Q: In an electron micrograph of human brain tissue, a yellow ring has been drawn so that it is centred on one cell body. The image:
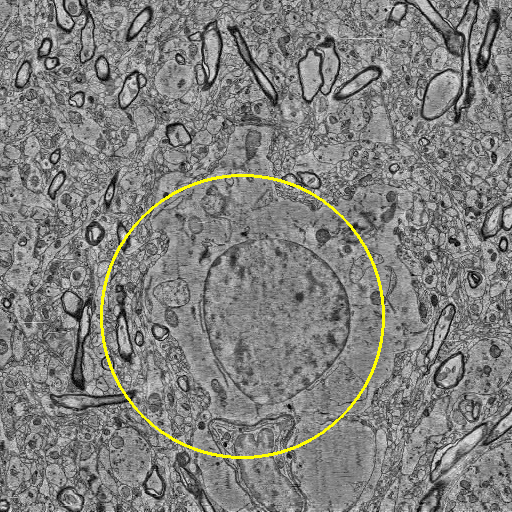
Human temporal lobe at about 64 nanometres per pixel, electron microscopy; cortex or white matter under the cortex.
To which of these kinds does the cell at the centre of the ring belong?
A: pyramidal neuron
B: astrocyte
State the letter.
B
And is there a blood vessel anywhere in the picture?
Yes, there is one.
